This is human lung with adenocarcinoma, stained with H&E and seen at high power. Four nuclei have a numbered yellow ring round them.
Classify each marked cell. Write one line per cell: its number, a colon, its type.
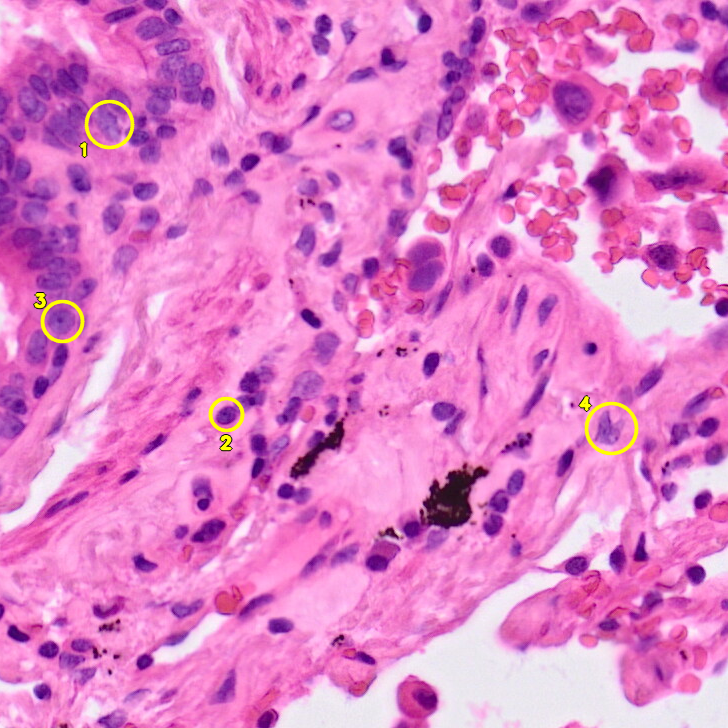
1: ciliated epithelial cell
2: mast cell
3: ciliated epithelial cell
4: fibroblast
